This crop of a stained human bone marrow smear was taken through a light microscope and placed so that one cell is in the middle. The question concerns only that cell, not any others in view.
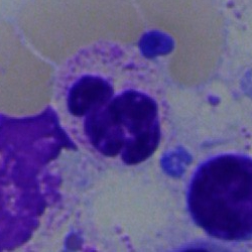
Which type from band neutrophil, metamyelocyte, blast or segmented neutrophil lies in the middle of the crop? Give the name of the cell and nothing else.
segmented neutrophil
